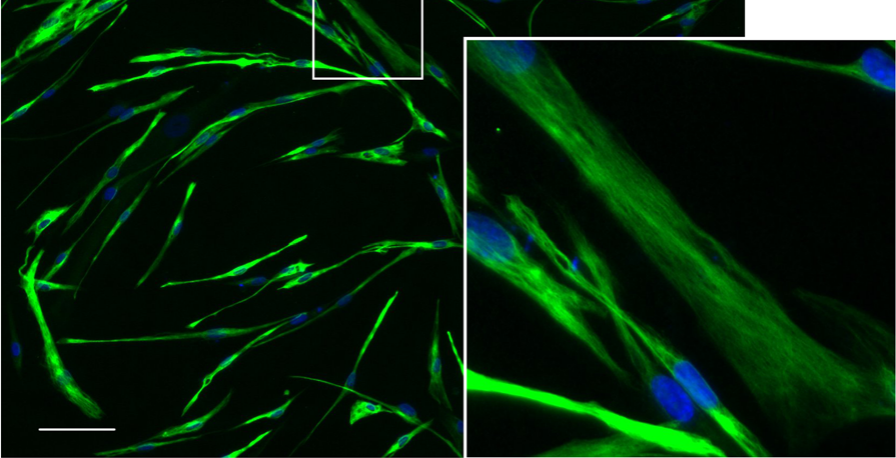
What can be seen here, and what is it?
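Oval blue nuclei sit within the cell bodies, often at widened parts. Some cells are brighter and narrower, others broader and fainter. The enlarged inset shows a broad cell whose green cytoplasm is filled with fine, roughly parallel filaments running along the cell's long axis, with neighbouring narrower cells and their oval nuclei at its edge.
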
